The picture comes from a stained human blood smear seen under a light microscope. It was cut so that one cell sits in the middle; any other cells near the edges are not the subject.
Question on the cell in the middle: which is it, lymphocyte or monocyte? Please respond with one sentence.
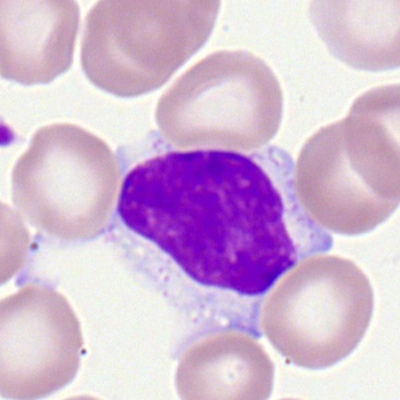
Answering briefly, the cell in the middle is a lymphocyte.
